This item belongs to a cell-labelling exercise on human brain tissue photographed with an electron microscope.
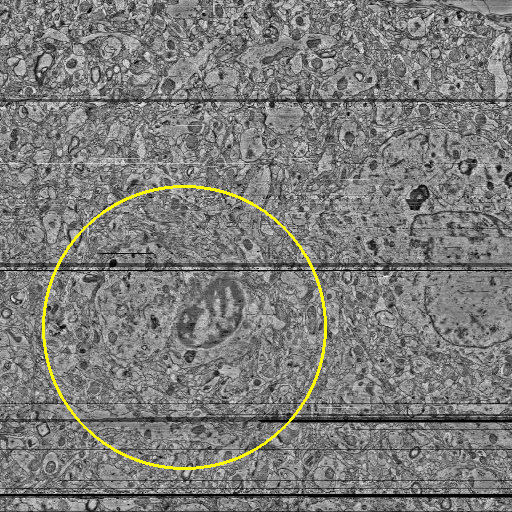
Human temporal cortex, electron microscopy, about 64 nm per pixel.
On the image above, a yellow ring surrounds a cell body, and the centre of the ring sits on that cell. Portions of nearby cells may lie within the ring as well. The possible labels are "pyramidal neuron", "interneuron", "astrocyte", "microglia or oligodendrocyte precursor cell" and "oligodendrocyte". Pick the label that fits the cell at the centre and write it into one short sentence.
This cell should be labelled as a microglial cell or oligodendrocyte precursor cell.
